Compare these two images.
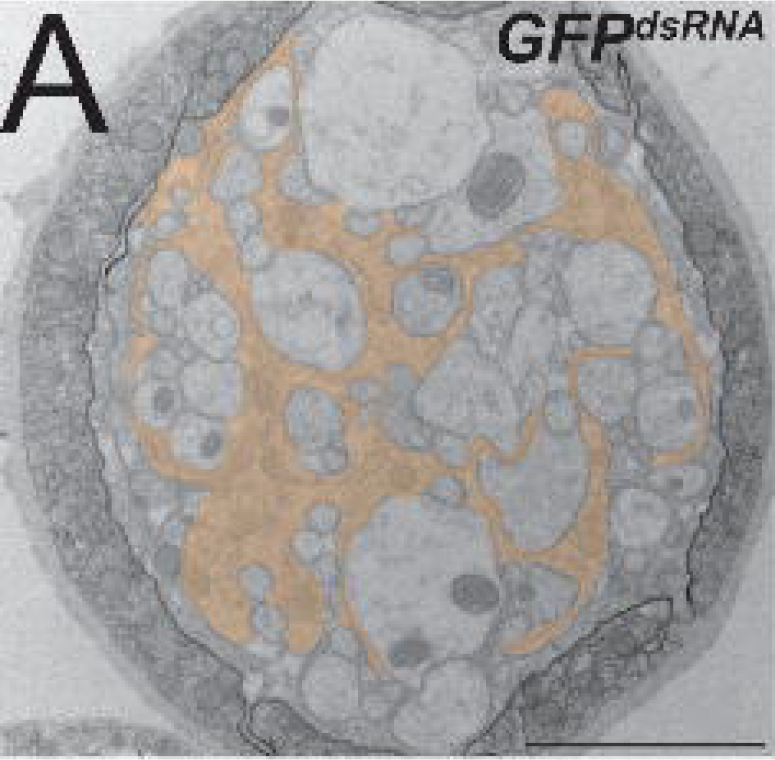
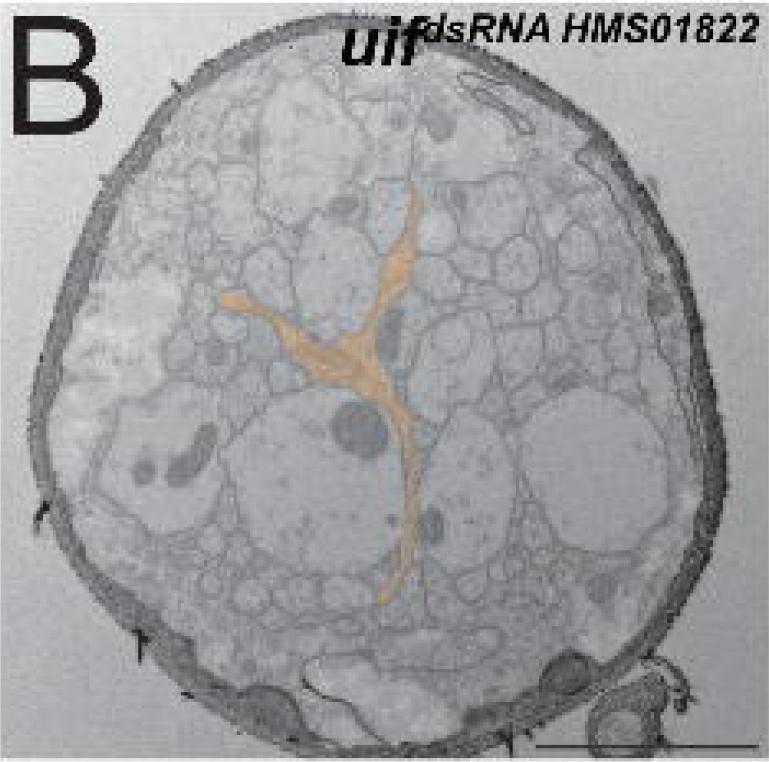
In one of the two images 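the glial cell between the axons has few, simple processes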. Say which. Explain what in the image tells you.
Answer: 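The second image. Second image: the orange-shaded glial cell forms a single thin Y-shaped process among the axons. First image: the orange-shaded glial cell spreads many branching processes throughout the nerve, surrounding many axons.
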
